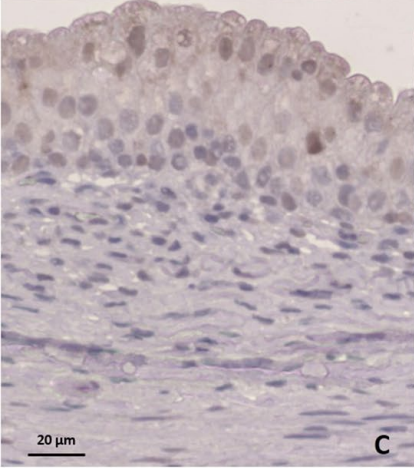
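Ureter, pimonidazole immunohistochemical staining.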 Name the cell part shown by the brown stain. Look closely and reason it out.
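Brown colour lies in the round nuclei of the upper epithelial cells. The answer: nucleus.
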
